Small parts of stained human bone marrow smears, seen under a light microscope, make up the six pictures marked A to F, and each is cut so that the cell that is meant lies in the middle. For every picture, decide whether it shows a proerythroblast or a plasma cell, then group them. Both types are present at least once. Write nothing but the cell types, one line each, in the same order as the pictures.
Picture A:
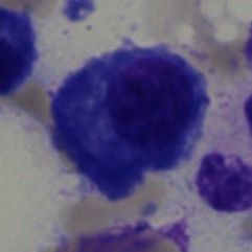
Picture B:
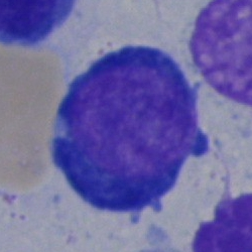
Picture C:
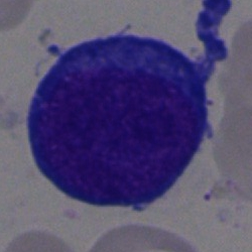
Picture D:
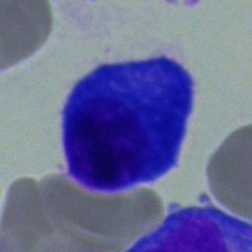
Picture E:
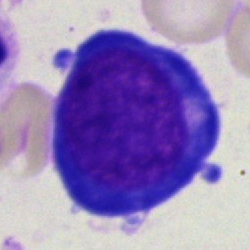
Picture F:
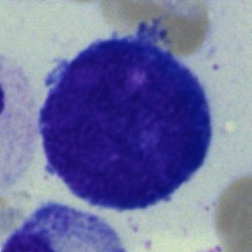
plasma cell
proerythroblast
proerythroblast
plasma cell
proerythroblast
proerythroblast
